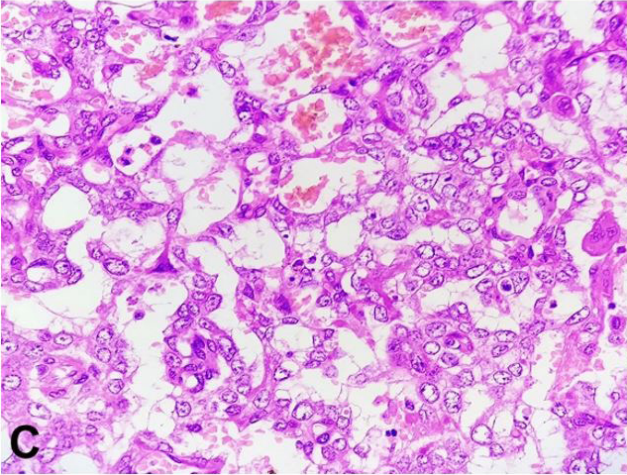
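Tumor cells are arranged in a loose, lace-like network around many small clear spaces of varied size, giving a microcystic look. The cells have pale pink to clear cytoplasm and large, round to oval nuclei with vesicular chromatin and prominent nucleoli. Some cells are flattened along the spaces, others form small clusters. Some spaces contain pale pink fluid or clumps of red blood cells. Scattered larger cells with bigger, irregular nuclei stand out among the rest, and a few dark, condensed nuclear fragments are seen.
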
